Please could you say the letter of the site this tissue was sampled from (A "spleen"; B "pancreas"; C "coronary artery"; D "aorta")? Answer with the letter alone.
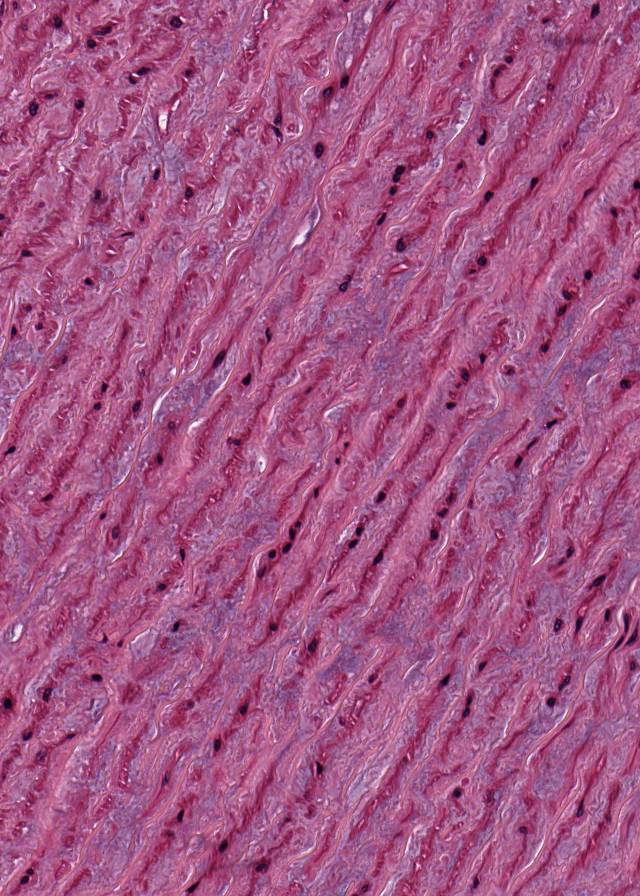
D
